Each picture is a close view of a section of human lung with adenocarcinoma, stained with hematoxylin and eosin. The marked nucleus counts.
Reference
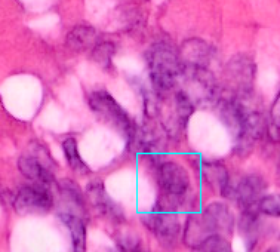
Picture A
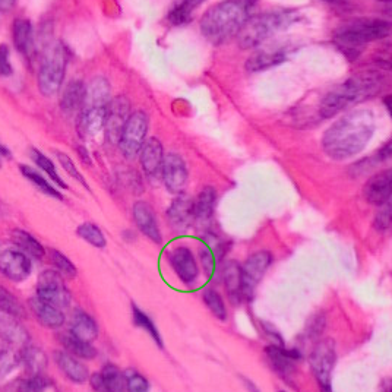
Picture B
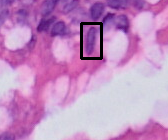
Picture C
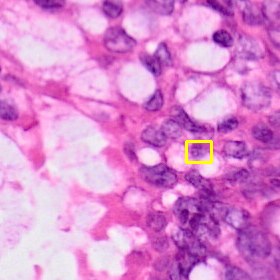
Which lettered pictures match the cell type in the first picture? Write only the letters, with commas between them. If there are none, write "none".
A, B, C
